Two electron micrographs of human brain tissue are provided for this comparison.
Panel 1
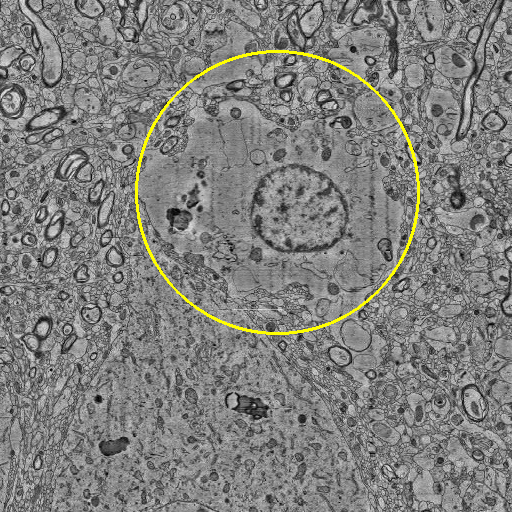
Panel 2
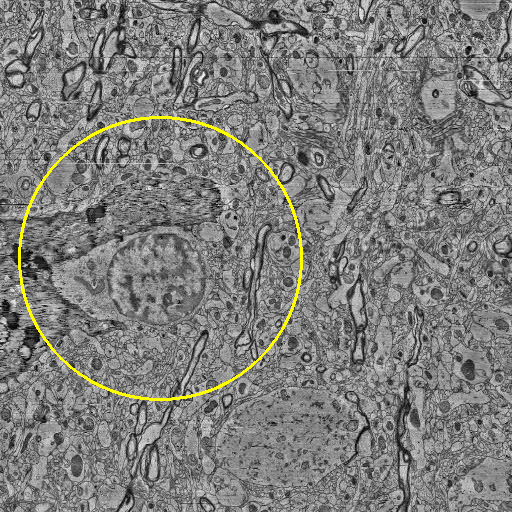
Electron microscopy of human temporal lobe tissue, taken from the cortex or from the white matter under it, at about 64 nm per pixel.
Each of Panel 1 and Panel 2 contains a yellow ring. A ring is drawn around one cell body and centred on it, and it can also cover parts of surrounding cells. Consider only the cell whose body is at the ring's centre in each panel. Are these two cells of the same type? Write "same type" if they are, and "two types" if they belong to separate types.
two types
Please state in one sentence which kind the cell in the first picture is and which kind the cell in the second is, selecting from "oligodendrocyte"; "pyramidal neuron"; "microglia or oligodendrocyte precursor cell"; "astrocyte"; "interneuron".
The first ringed cell is an astrocyte, the second ringed cell an oligodendrocyte.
